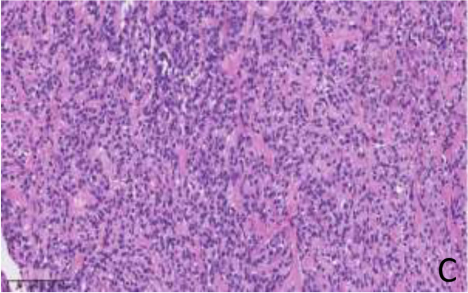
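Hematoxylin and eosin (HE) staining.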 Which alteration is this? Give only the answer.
significantly increased cell density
